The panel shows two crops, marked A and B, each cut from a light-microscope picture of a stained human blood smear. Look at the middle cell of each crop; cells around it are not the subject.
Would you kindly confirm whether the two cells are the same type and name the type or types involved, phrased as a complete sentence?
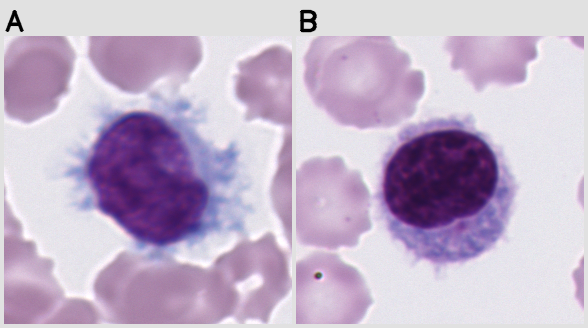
Yes, both crops show a cell each, and these are hairy cells.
